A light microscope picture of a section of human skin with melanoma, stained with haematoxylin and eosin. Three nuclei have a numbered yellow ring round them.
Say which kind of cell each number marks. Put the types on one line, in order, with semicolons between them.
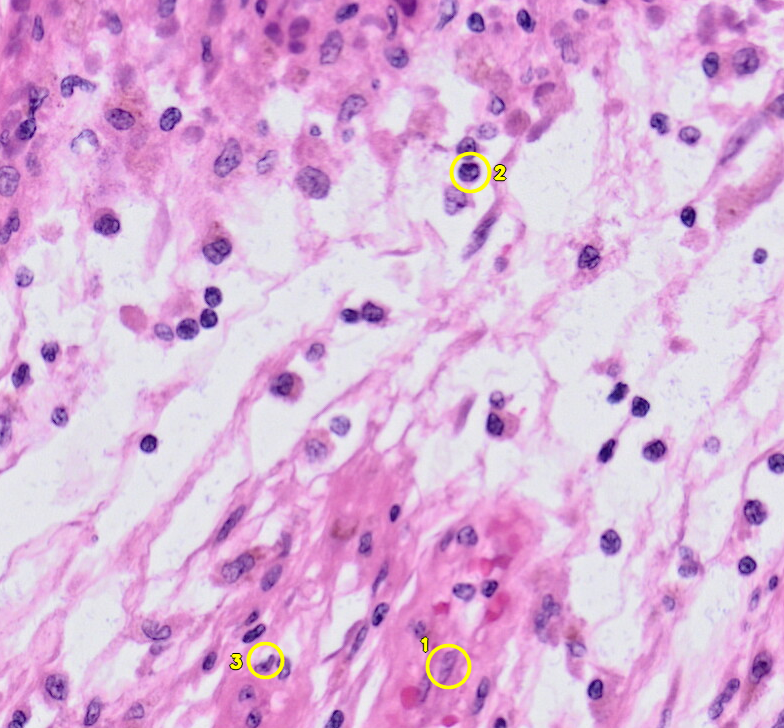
endothelial cell; lymphocyte; fibroblast or myofibroblast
